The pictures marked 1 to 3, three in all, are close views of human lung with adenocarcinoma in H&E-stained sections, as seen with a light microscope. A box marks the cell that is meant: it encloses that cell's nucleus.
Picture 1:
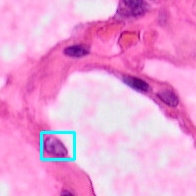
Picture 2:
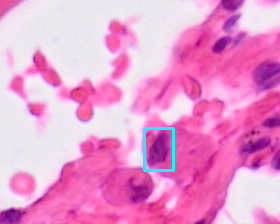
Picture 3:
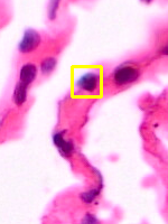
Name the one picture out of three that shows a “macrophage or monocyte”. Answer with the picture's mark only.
2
